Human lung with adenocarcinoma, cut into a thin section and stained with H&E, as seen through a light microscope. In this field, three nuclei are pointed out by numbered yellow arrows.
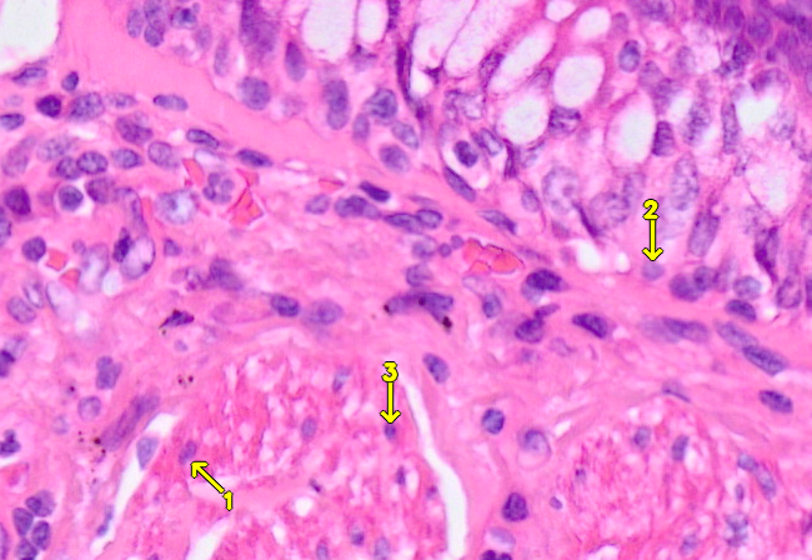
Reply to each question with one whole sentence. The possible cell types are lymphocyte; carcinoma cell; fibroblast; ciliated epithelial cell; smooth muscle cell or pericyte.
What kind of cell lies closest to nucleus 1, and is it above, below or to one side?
The nearest nucleus is that of a lymphocyte and lies to the left of nucleus 1.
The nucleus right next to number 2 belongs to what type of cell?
Number 2 lies closest to the nucleus of a ciliated epithelial cell.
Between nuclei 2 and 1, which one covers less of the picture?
The smaller nucleus is 1, and 2 covers roughly 1.5 times its area.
